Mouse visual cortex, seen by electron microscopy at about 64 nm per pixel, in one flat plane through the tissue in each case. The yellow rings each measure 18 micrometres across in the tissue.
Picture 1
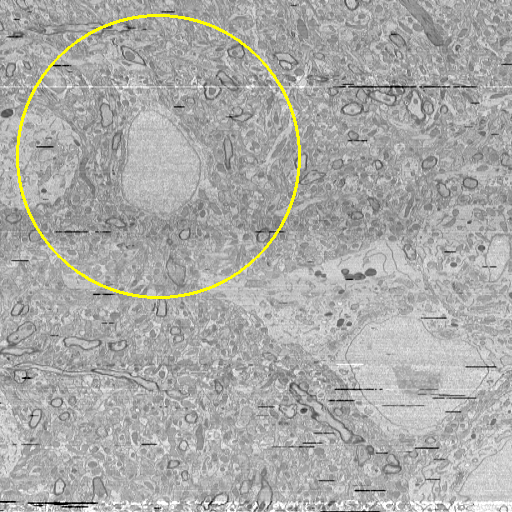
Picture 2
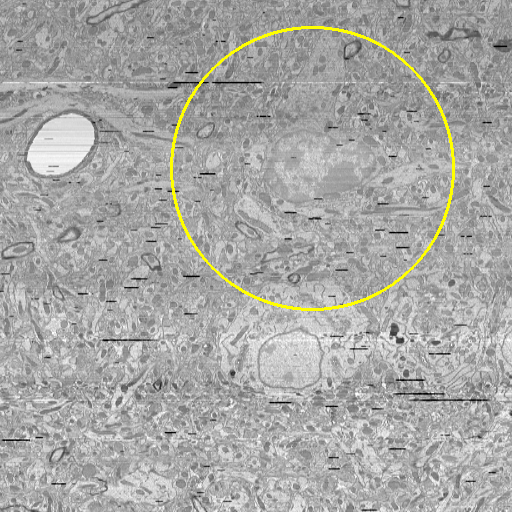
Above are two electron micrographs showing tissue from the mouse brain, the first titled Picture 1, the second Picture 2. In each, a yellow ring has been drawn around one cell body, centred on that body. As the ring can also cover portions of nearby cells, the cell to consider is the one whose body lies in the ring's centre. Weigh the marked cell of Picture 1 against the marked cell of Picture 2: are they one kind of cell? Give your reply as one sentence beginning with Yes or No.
No, the two cells sitting at the ring centres in the pictures are of two kinds.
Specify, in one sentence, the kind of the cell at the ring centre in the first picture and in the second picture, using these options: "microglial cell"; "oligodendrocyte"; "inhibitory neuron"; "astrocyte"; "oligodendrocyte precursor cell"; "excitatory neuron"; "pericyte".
So the first is an astrocyte, the second an oligodendrocyte.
